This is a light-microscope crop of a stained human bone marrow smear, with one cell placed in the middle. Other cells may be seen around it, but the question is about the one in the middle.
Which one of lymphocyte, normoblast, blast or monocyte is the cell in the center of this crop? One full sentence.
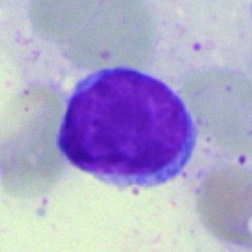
The cell of interest, in the center, is a lymphocyte.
